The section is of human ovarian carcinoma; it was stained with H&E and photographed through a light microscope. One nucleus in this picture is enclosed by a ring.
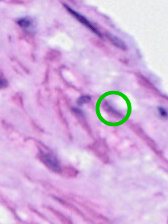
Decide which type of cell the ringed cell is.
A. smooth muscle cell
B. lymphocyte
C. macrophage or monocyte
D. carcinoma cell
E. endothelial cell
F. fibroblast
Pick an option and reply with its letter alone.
F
